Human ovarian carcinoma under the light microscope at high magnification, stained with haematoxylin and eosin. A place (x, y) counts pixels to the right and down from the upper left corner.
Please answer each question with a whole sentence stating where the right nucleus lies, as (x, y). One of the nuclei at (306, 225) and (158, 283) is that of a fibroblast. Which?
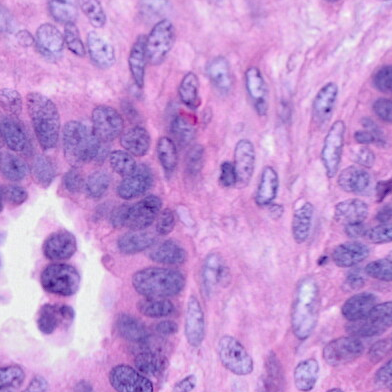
The nucleus at (306, 225), rather than the other one, belongs to a fibroblast.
